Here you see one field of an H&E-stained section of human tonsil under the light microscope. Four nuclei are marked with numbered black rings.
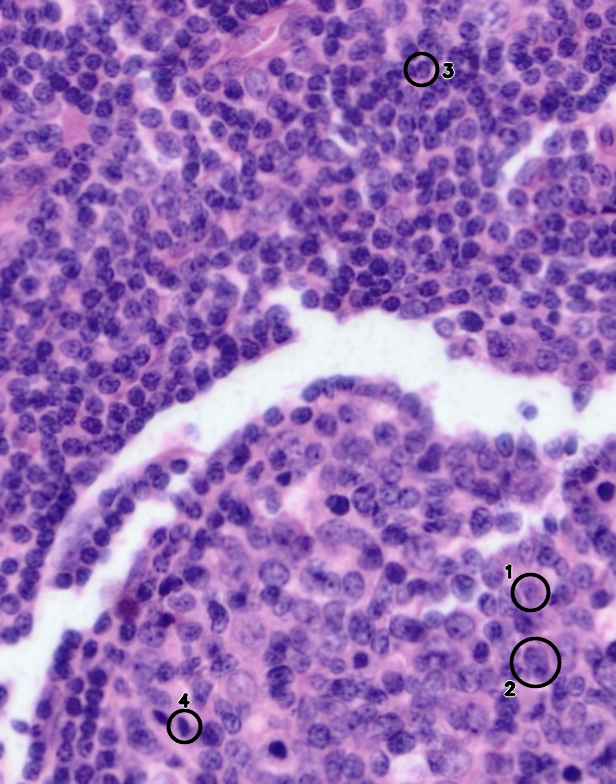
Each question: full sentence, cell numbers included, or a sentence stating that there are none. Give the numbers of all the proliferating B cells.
The cells labelled 1, 2 and 4 in this section are proliferating B cells.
